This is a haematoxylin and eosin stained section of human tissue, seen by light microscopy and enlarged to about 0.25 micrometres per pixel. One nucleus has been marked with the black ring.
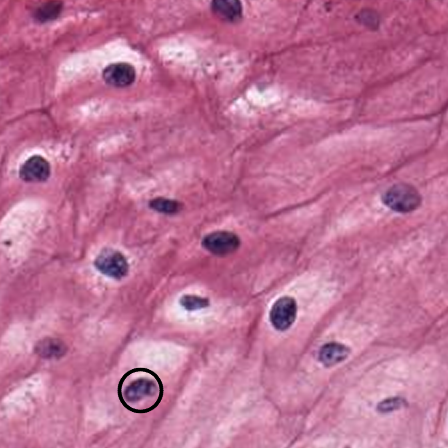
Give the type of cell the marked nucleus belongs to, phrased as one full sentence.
In this picture, the marked nucleus belongs to a squamous epithelial cell.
